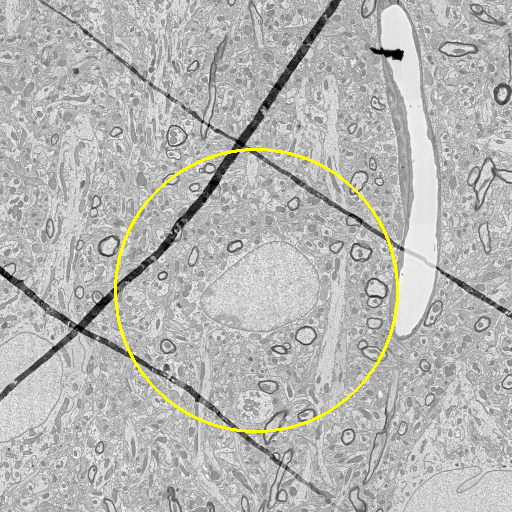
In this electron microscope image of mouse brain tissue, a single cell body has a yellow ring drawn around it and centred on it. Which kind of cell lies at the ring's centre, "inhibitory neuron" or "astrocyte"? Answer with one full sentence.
It is an astrocyte whose cell body lies at the centre of the yellow ring here.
